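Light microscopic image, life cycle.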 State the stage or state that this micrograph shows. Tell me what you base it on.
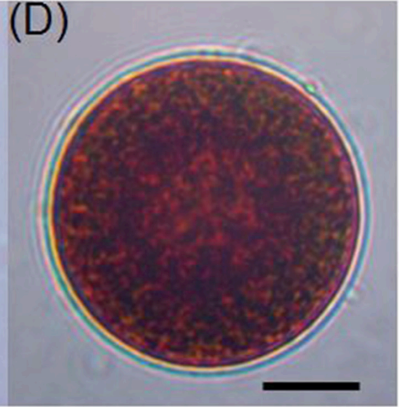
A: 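The cell is spherical with a thick wall. Nearly the whole cell is deep red. Little or no green remains. The answer: aplanospore cell.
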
